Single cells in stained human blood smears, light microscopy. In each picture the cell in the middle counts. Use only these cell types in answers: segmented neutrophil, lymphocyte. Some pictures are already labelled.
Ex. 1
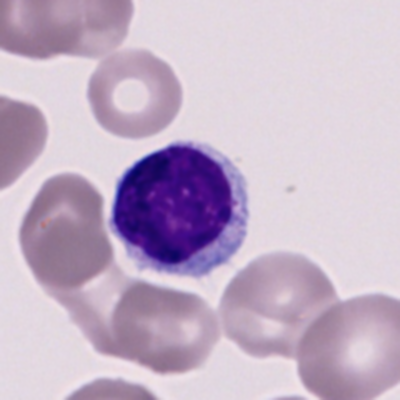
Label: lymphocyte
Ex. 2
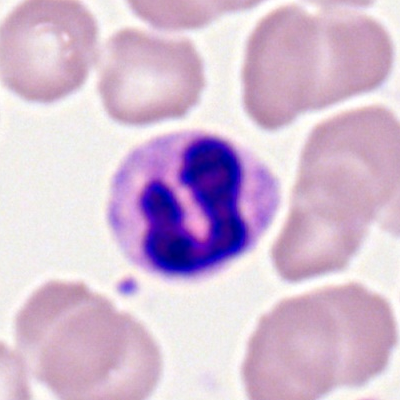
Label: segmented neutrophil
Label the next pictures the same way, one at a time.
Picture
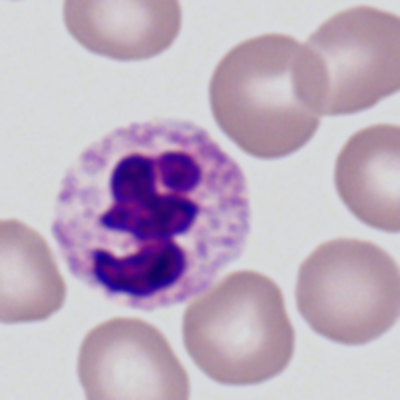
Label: segmented neutrophil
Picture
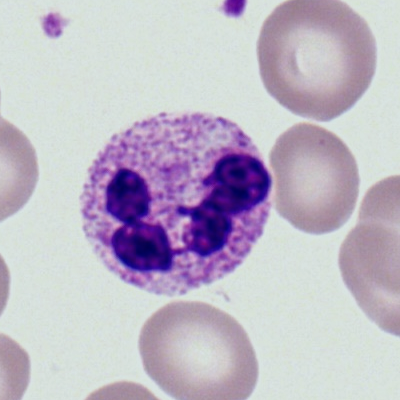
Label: segmented neutrophil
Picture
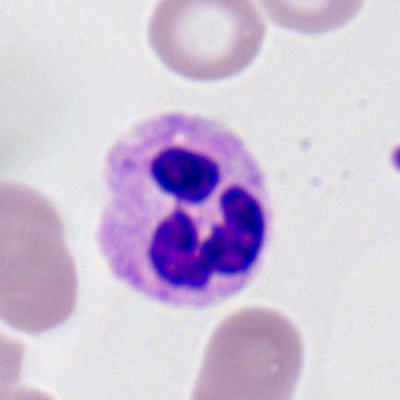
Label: segmented neutrophil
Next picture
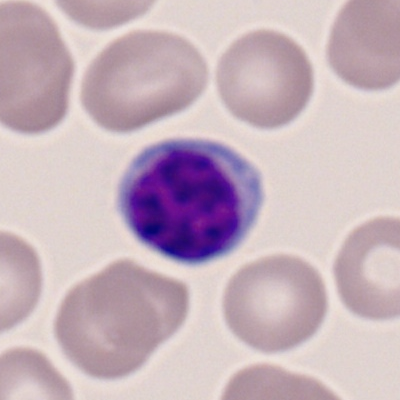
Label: lymphocyte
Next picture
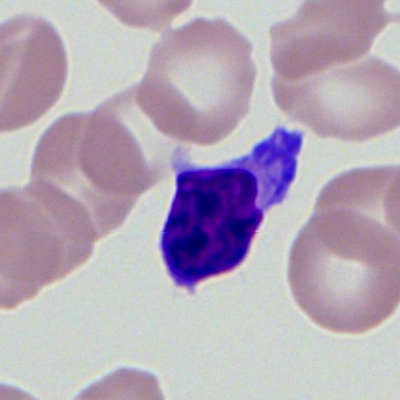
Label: lymphocyte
